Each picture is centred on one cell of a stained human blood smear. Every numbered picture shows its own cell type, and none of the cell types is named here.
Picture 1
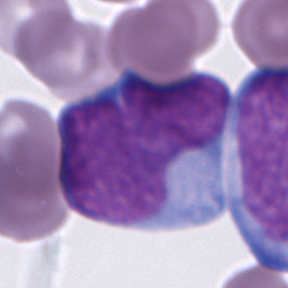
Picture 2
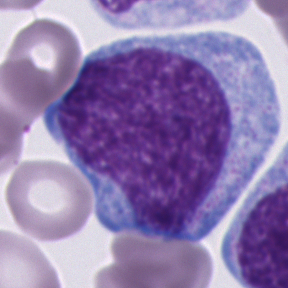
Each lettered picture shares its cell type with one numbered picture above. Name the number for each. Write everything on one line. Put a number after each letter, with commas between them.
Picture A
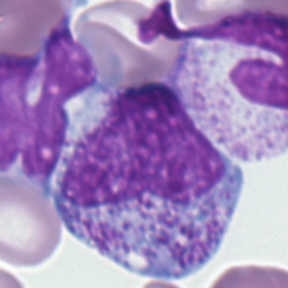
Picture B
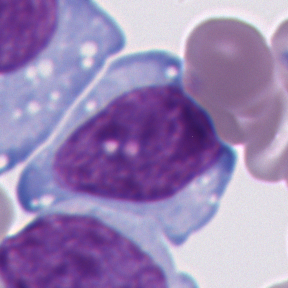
A 2, B 1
